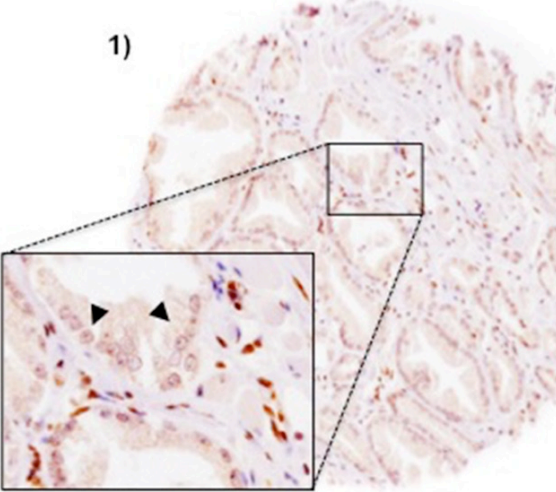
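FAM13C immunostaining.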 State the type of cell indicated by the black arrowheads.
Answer: cancer cells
